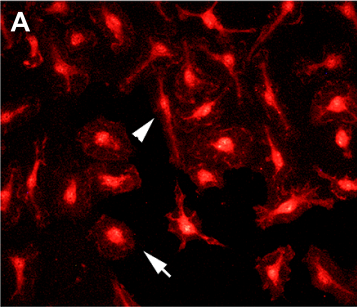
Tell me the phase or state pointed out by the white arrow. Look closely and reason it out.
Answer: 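The marked cell is rounded to oval without long processes. Its red staining is compact around a central body. So: amoeboid with ovoid shape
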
